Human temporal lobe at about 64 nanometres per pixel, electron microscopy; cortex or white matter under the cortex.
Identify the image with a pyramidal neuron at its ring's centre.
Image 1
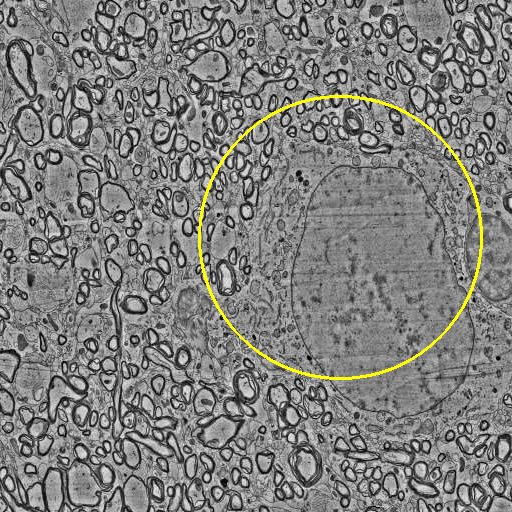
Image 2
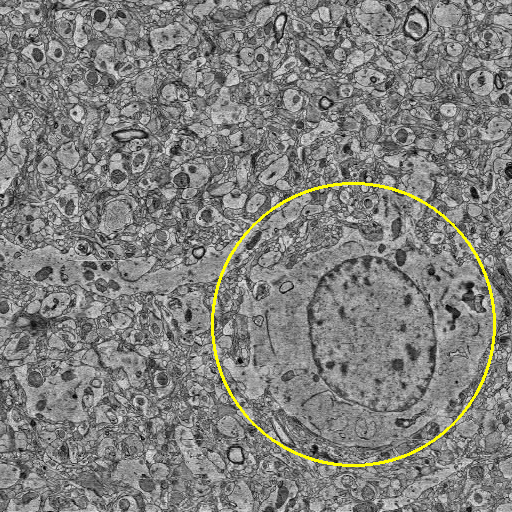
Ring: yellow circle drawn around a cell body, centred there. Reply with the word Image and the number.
Image 1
